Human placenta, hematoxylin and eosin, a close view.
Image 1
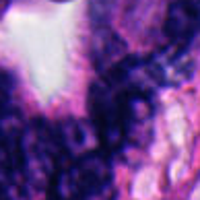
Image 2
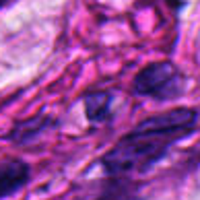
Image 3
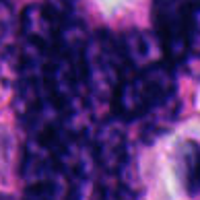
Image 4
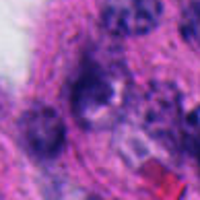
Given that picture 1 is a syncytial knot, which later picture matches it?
3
